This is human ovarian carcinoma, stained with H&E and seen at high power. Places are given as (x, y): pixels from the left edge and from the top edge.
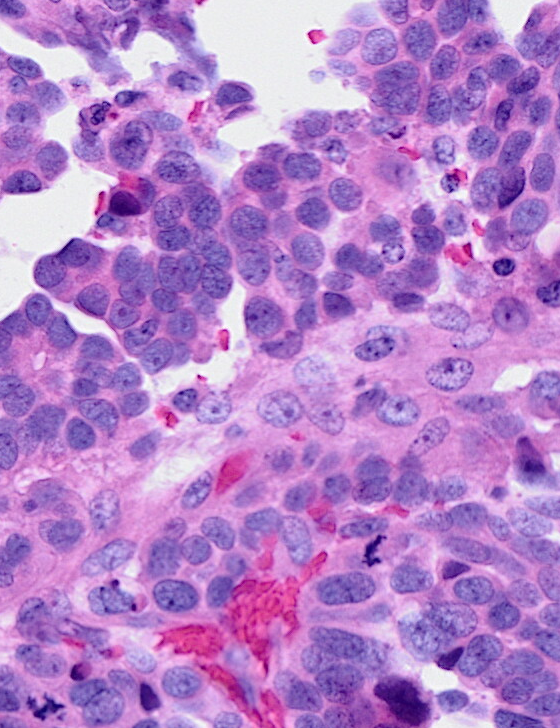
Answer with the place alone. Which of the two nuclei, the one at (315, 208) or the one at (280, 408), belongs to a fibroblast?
(280, 408)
